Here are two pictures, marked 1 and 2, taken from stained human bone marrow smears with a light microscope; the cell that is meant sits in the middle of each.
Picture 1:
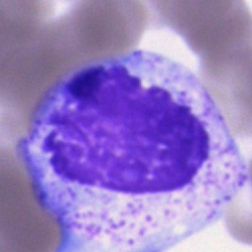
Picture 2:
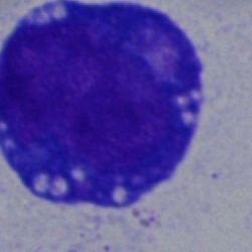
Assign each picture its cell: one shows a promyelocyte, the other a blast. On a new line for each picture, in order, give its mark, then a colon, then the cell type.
1: promyelocyte
2: blast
